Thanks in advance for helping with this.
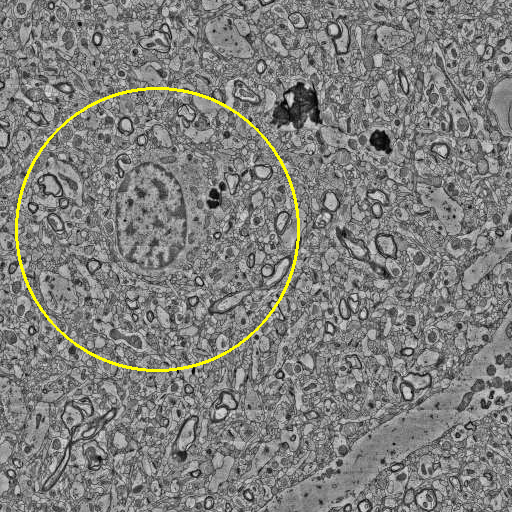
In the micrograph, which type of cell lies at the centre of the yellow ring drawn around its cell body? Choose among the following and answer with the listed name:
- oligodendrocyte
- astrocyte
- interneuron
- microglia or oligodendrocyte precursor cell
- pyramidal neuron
oligodendrocyte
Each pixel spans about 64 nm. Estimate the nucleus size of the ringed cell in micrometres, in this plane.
The nucleus comes to approximately 7 by 4 micrometres and is clearly longer than it is wide in this plane.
